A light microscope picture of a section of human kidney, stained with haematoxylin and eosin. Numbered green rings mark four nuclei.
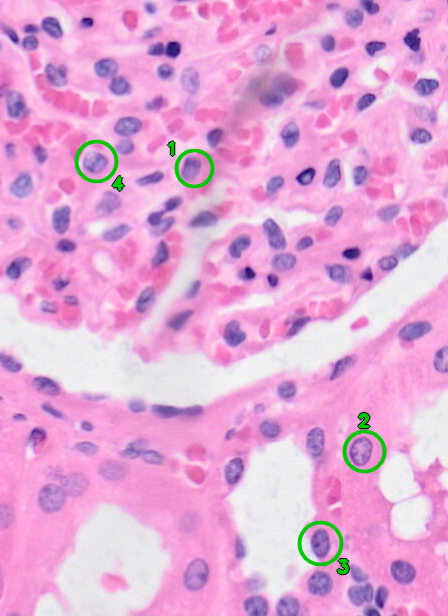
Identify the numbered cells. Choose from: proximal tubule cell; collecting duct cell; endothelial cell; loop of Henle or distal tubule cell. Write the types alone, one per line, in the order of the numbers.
endothelial cell
proximal tubule cell
loop of Henle or distal tubule cell
endothelial cell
